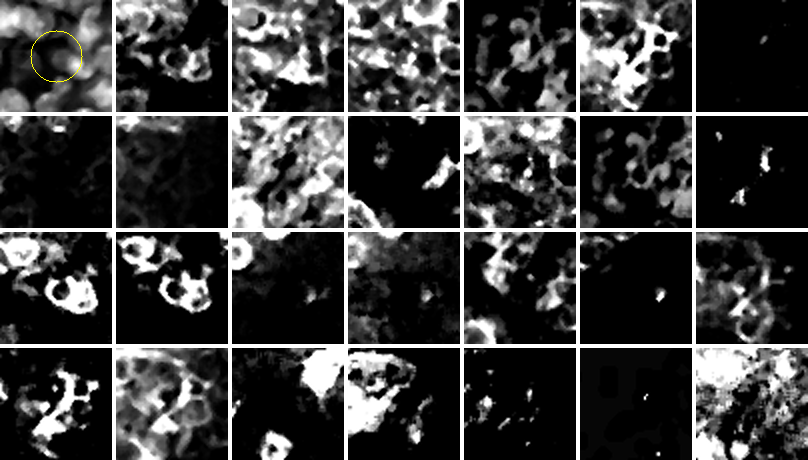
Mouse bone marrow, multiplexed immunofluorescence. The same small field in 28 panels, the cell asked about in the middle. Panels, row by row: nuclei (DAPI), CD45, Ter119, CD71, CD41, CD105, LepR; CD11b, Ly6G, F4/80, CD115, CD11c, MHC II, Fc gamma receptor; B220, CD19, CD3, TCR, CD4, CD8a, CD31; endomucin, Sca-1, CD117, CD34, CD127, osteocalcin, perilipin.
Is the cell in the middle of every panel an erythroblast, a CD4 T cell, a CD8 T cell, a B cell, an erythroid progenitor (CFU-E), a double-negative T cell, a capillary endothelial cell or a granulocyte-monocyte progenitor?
It is a capillary endothelial cell.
